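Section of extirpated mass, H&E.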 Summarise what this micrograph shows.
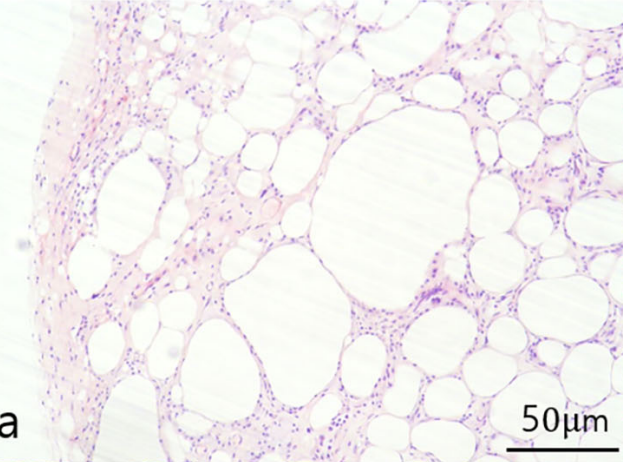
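Adipose tissue made of adipocytes of strongly varying size, seen as large clear round to polygonal vacuoles each bounded by a thin pink membrane rim with small flattened nuclei at the edge. Toward the left edge the fat cells give way to a band of pink fibrous tissue with elongated nuclei lying parallel to the surface. Small vessels appear within the septa.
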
